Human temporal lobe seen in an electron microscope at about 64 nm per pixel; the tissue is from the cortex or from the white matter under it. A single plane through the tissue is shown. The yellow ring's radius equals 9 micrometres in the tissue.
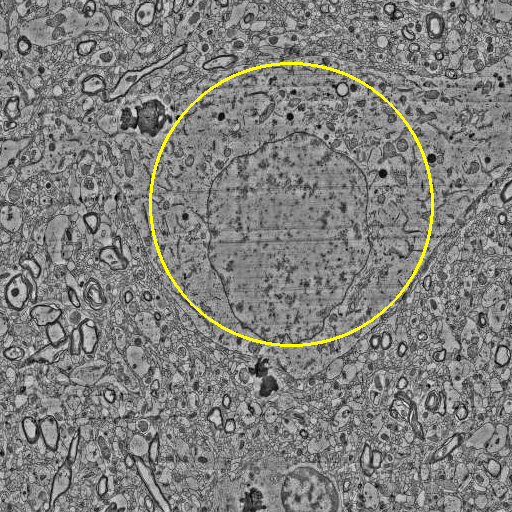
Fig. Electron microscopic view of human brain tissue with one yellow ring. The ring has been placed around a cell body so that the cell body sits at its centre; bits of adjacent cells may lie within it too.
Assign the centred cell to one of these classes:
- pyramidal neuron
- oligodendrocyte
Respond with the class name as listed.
pyramidal neuron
